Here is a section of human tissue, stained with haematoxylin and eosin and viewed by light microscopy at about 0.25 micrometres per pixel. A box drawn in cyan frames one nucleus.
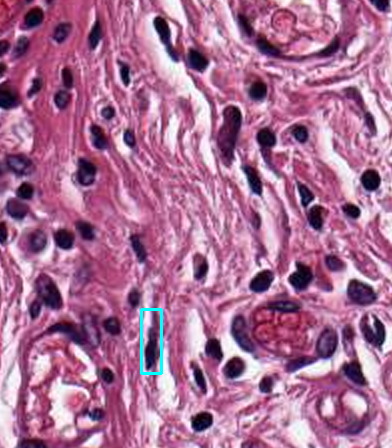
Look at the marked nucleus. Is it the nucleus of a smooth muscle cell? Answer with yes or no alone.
no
